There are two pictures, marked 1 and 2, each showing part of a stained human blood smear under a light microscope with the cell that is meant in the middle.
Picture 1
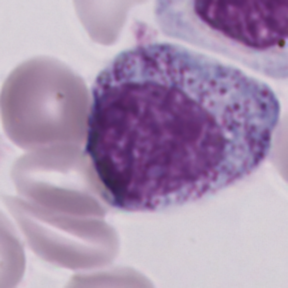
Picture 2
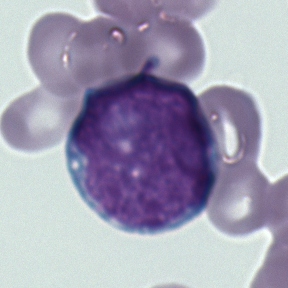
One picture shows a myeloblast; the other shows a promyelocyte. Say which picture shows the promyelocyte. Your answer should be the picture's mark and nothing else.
1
